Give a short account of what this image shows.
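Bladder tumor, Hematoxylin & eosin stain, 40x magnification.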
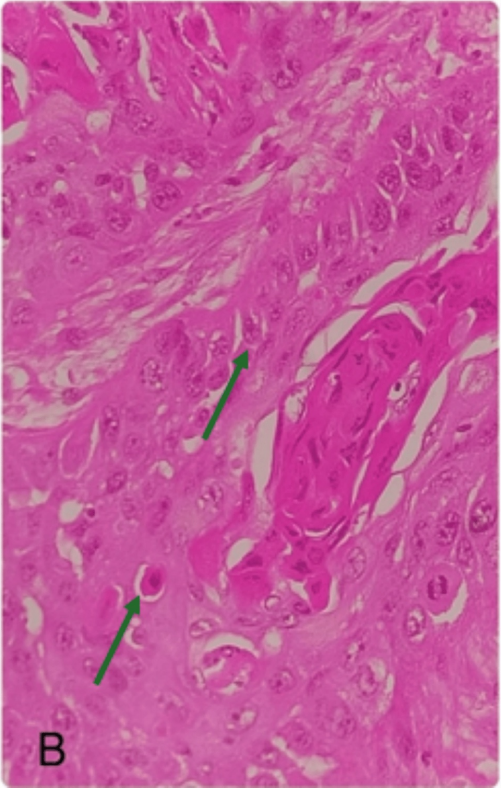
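Large polygonal squamous tumour cells with abundant pink cytoplasm fill the field, arranged in sheets around a central mass of dense, layered, bright pink keratin. The nuclei are large, round to oval, vesicular, with visible nucleoli and variation in size. Thin clear clefts separate some cells and the keratin mass from the surrounding epithelium. Scattered among them are small shrunken cells with intensely pink cytoplasm and dark condensed nuclei sitting in clear halos, consistent with dying keratinocytes.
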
